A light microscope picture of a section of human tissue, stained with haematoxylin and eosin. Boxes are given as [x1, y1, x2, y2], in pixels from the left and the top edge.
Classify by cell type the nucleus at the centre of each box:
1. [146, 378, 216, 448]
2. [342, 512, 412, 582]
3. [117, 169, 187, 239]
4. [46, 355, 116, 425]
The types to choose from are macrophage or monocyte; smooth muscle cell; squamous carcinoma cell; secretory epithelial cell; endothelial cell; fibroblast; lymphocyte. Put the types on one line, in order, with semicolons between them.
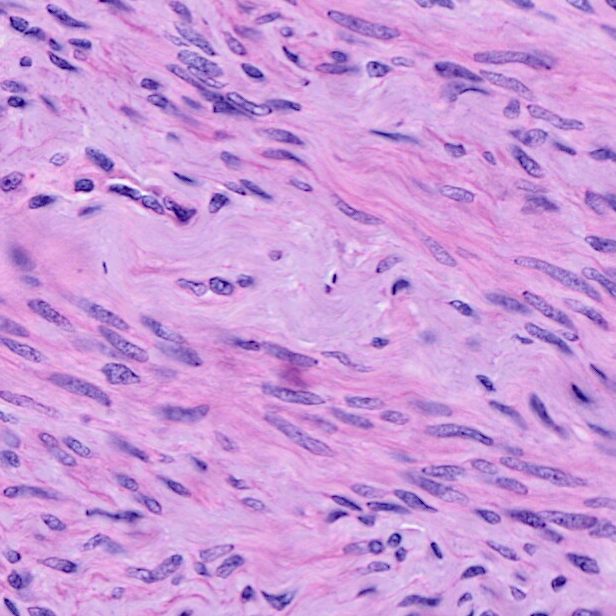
smooth muscle cell; smooth muscle cell; endothelial cell; smooth muscle cell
